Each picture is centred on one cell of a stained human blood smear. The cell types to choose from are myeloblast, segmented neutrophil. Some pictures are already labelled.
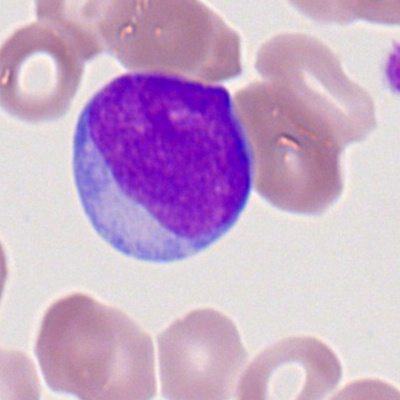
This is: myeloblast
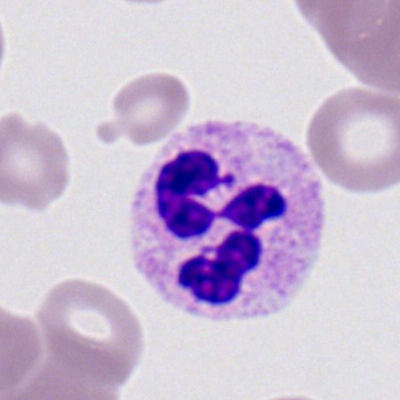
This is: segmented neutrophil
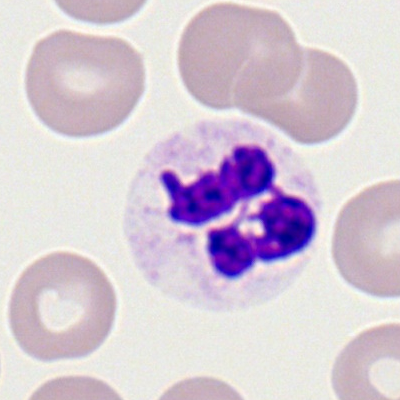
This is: segmented neutrophil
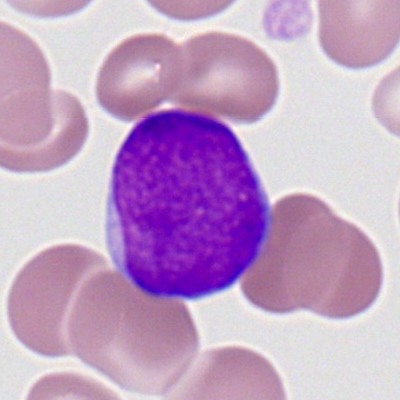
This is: myeloblast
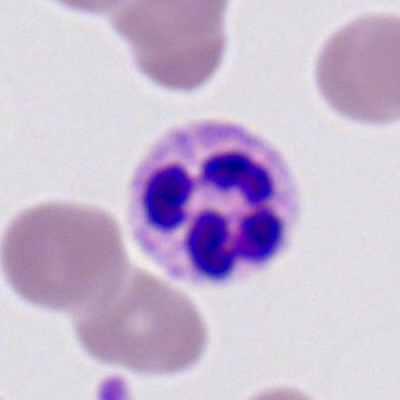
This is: segmented neutrophil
